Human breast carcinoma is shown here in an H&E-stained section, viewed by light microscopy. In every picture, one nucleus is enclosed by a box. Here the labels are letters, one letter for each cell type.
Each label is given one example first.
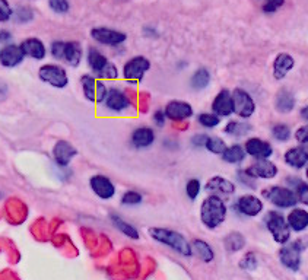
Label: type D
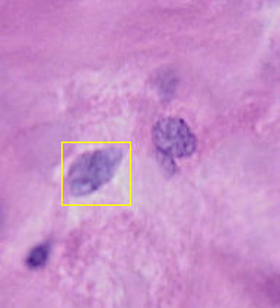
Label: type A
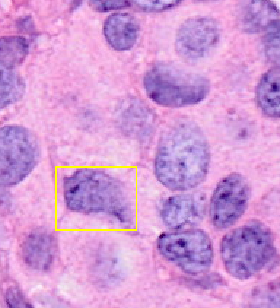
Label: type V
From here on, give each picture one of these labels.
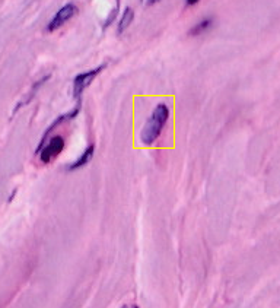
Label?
type A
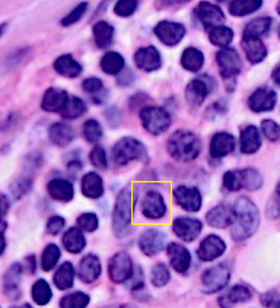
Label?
type D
